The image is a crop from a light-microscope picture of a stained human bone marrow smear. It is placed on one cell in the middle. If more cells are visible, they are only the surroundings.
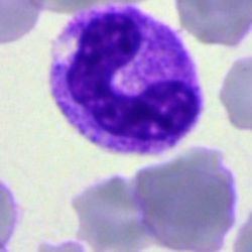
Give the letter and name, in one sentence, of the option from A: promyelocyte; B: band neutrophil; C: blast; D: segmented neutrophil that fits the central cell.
Since the middle cell is a band neutrophil, option B is the right one.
